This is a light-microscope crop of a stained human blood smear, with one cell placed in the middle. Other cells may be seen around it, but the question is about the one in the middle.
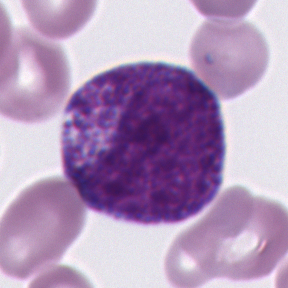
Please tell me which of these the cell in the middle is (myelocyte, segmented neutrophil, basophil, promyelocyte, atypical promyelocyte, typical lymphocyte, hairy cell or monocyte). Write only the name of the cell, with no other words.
myelocyte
